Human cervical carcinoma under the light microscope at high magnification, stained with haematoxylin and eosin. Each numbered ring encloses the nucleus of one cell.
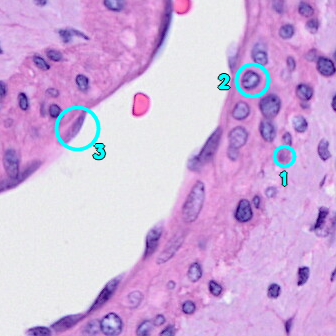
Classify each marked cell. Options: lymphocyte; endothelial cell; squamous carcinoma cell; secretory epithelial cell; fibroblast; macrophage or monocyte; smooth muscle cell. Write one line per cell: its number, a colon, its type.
1: smooth muscle cell
2: smooth muscle cell
3: endothelial cell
